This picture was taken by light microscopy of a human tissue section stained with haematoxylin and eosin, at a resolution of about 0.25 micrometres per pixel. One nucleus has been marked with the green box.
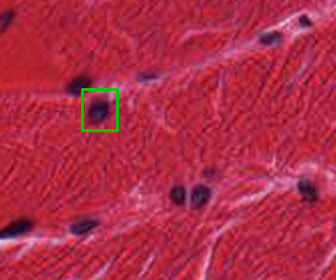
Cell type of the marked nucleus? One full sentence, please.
The cell to which the marked nucleus belongs is a skeletal muscle fibre.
